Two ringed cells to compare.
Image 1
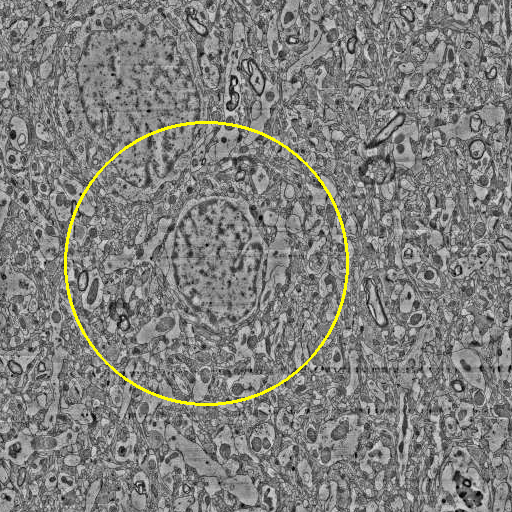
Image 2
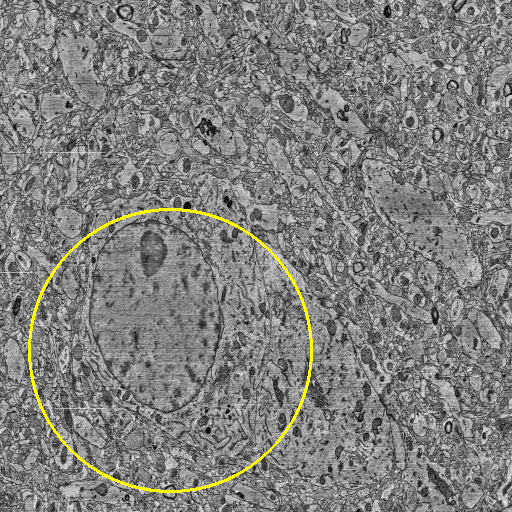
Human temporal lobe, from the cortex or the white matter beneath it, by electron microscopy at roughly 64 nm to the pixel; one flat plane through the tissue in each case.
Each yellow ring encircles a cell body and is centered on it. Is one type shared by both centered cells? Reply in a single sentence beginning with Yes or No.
No, two types are found among the cells at the centers of the rings.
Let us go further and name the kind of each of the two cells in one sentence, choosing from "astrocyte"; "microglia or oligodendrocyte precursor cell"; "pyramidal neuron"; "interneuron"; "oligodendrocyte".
The ring of the first picture is on a microglial cell or oligodendrocyte precursor cell, the ring of the second on a pyramidal neuron.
